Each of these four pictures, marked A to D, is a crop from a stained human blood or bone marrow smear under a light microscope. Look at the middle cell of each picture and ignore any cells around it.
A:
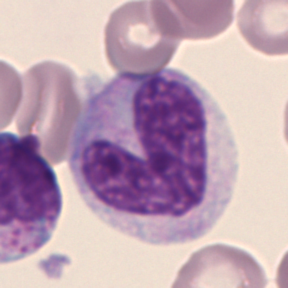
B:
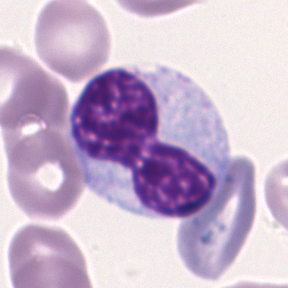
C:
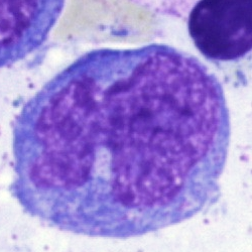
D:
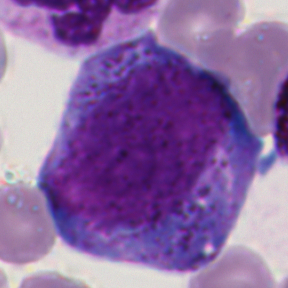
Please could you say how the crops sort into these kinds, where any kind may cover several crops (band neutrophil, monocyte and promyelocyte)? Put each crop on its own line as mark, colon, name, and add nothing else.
A: band neutrophil
B: band neutrophil
C: monocyte
D: promyelocyte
